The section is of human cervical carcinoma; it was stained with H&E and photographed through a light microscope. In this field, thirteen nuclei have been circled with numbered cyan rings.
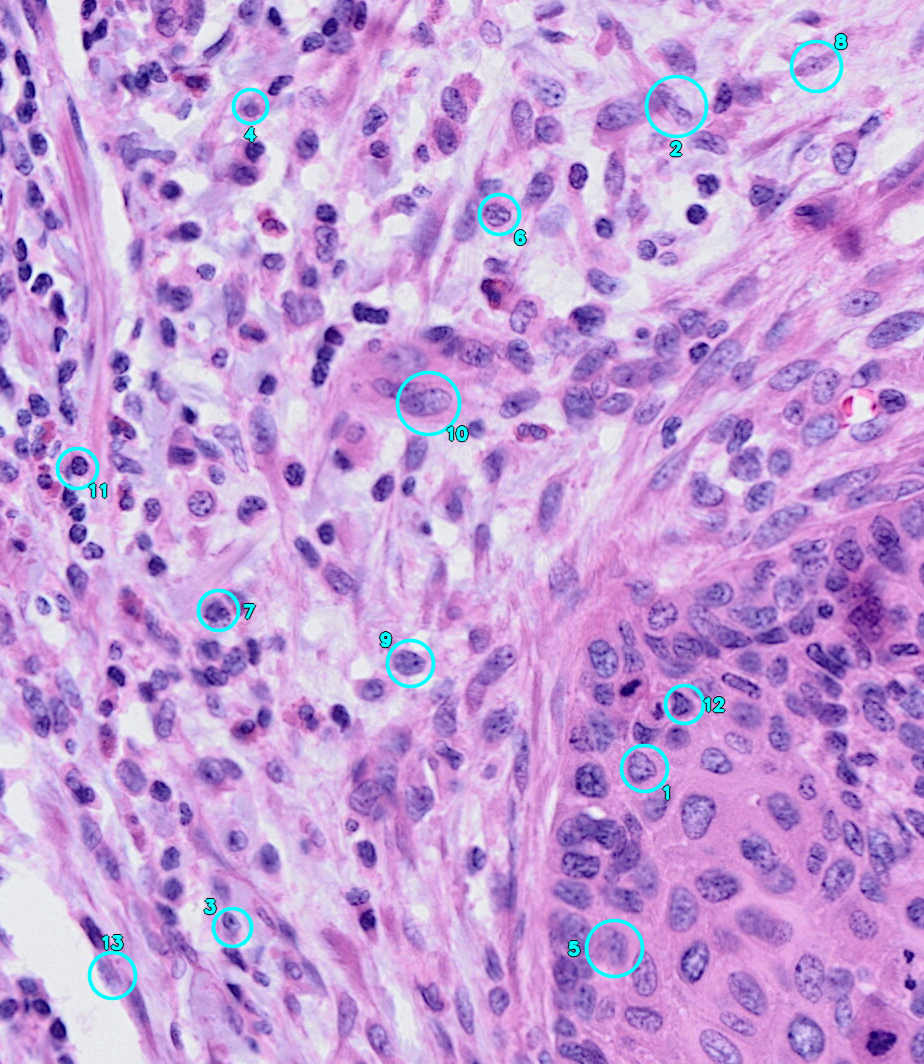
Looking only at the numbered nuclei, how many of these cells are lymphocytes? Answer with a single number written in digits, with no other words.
2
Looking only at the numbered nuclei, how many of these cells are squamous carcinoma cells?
3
